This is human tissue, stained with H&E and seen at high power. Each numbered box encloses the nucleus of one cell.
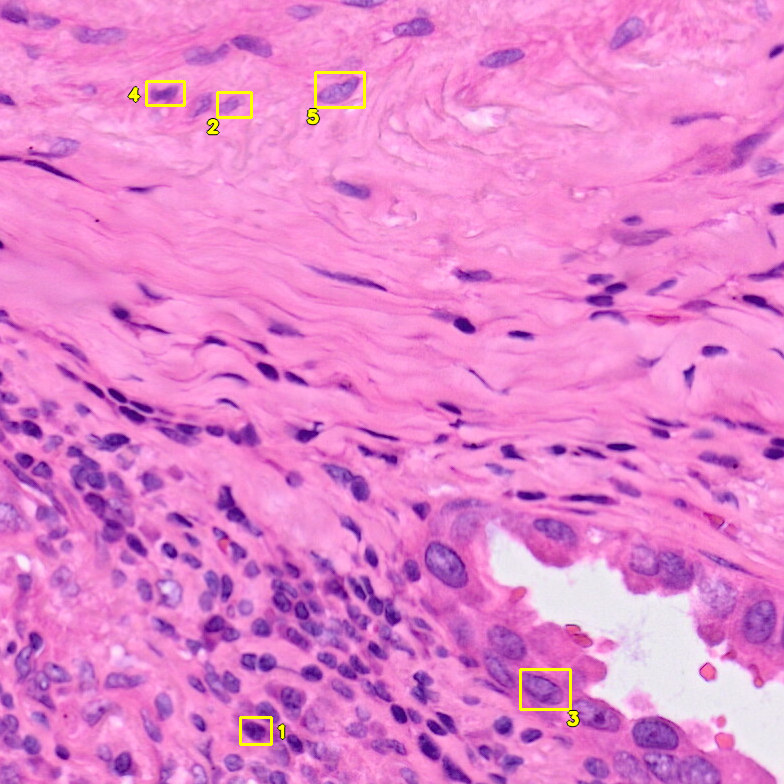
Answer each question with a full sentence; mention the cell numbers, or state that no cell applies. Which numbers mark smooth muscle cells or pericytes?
Each of the cells numbered 2, 4 and 5 is among the smooth muscle cells or pericytes.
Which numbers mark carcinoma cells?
As for the numbered cells, only cell 3 is a carcinoma cell.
